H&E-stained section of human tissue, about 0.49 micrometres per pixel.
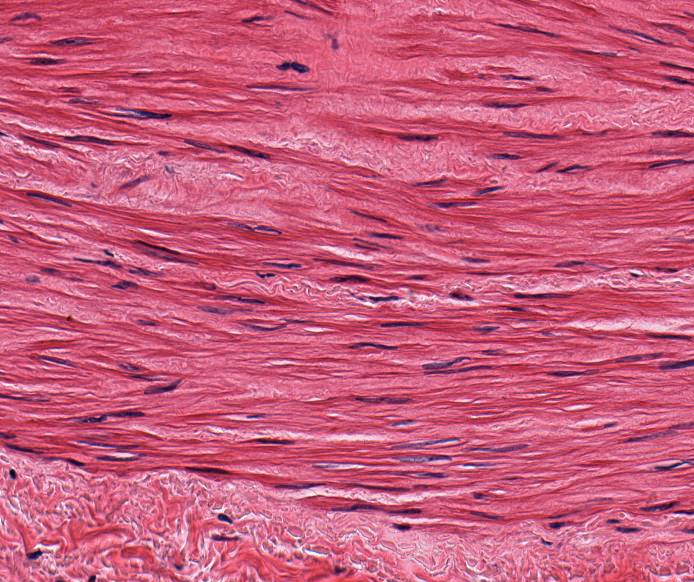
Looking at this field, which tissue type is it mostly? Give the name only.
tunica media of an artery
